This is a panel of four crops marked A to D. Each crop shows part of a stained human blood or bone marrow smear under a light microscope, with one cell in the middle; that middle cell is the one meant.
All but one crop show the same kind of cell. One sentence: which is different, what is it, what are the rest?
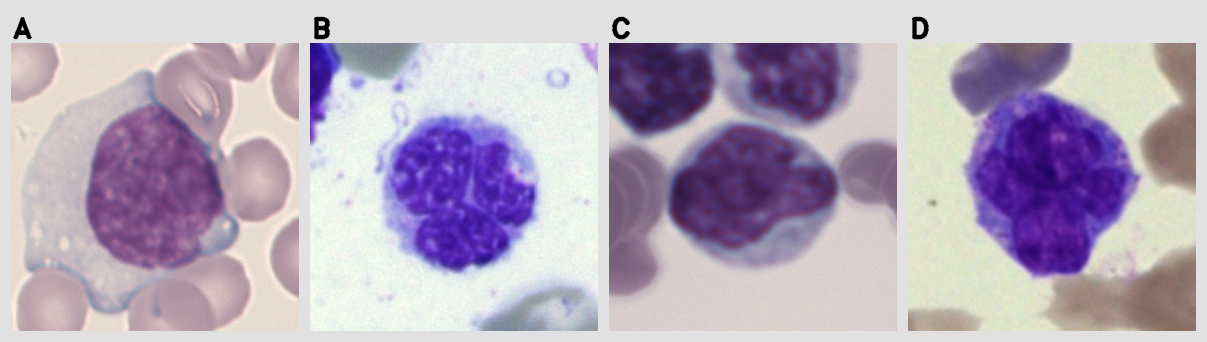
Although the other crops all show monocytes, crop A shows a blast.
